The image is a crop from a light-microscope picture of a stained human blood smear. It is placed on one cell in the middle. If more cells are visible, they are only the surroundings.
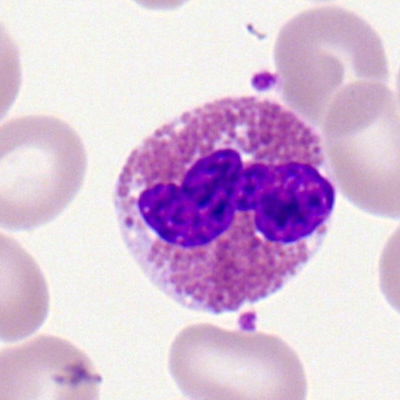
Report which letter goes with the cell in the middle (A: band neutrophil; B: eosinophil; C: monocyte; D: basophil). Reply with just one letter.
B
